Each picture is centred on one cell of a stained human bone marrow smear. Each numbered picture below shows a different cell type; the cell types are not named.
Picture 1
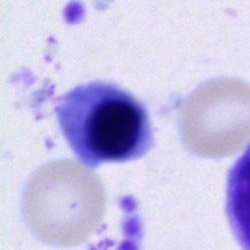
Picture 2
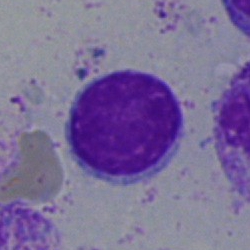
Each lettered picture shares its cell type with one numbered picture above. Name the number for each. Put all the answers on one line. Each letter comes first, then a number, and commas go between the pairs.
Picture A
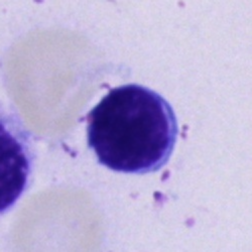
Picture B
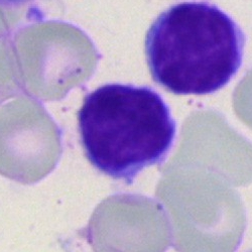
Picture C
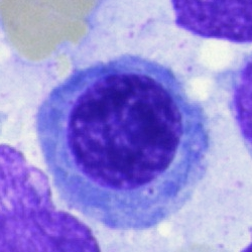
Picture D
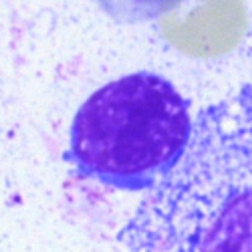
A 2, B 2, C 1, D 2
